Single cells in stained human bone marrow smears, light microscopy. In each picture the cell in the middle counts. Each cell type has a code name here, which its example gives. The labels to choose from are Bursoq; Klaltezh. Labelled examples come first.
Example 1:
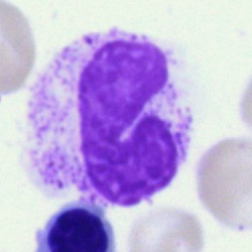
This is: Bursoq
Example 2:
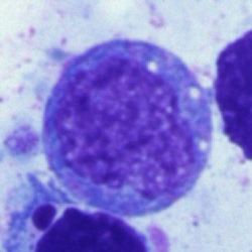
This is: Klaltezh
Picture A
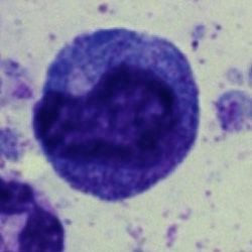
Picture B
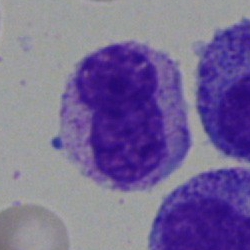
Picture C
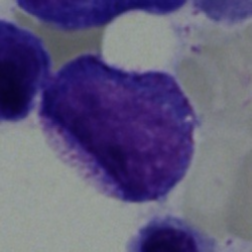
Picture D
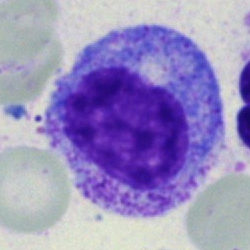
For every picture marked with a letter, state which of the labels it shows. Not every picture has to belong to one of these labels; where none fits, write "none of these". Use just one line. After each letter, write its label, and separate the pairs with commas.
A Klaltezh, B Bursoq, C Klaltezh, D Klaltezh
